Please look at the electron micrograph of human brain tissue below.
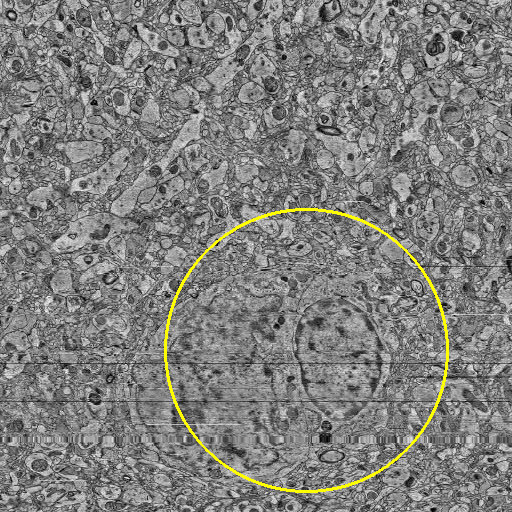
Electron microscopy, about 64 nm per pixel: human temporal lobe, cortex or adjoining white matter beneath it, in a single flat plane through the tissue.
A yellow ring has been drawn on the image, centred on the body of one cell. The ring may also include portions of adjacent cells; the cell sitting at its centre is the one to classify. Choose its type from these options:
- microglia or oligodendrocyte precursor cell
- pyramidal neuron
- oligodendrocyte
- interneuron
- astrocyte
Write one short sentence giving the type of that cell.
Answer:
The cell in the middle of the ring is a microglial cell or oligodendrocyte precursor cell.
